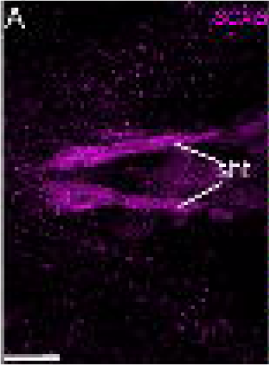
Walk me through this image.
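On a dark field, magenta marks a set of elongated, thin cells drawn out into long streaks. They gather into two roughly parallel bands that run side by side and converge toward one end, outlining a narrow wedge-shaped space between them. Around them only faint scattered magenta dots are seen. The slender, stretched shape and the bundled, aligned arrangement fit tendon cells, tenocytes, lying along the cartilage where a muscle attaches to it at an attachment site, rather than rounded cartilage cells.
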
